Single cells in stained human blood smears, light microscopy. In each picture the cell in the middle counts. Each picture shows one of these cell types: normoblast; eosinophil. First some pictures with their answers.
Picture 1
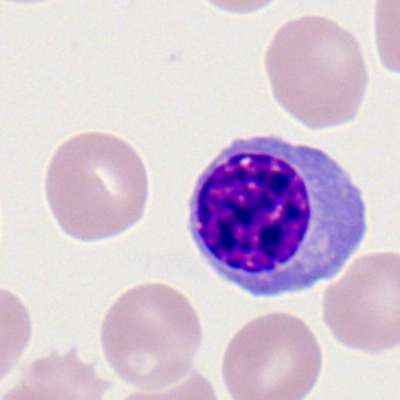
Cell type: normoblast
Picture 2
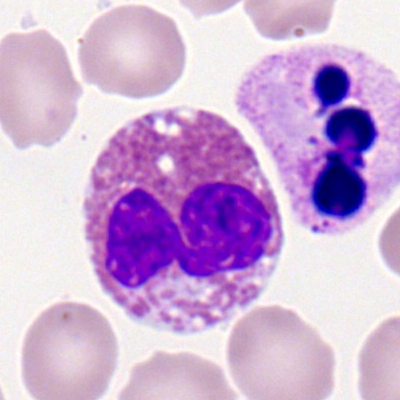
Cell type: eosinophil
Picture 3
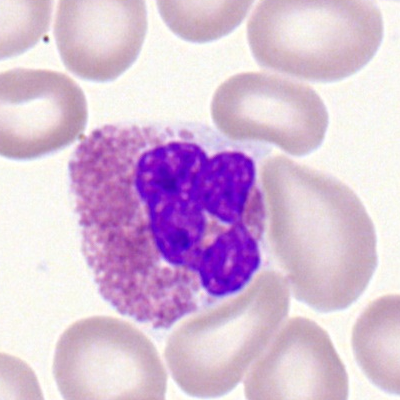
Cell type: eosinophil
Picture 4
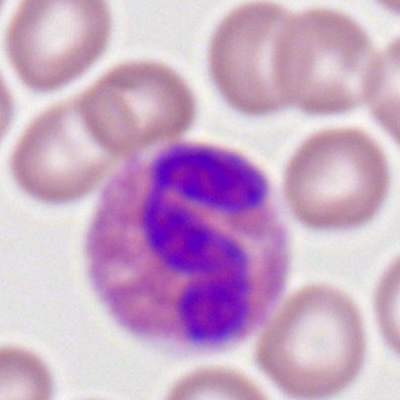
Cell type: eosinophil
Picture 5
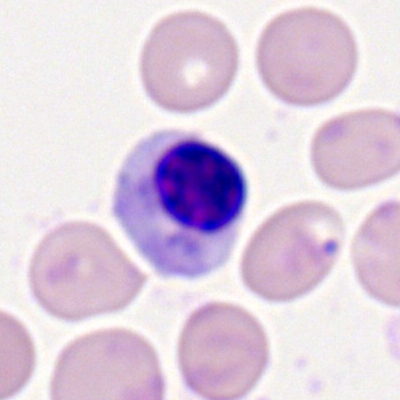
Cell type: normoblast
